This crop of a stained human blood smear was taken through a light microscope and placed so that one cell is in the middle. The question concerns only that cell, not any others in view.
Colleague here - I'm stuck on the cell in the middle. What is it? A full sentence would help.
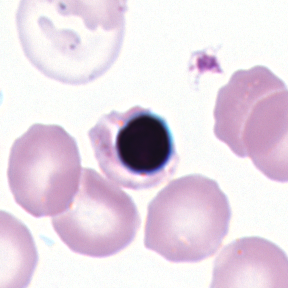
Centrally within this crop lies a normoblast.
